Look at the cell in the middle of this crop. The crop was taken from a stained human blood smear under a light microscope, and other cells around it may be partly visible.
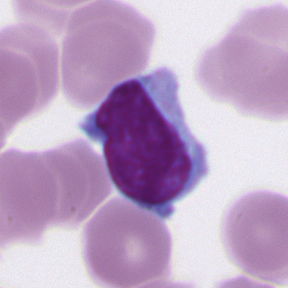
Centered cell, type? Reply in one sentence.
What the crop centres on is a typical lymphocyte.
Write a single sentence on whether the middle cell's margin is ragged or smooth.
The edge of the cell is broken up by ragged stretches or by outward projections.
